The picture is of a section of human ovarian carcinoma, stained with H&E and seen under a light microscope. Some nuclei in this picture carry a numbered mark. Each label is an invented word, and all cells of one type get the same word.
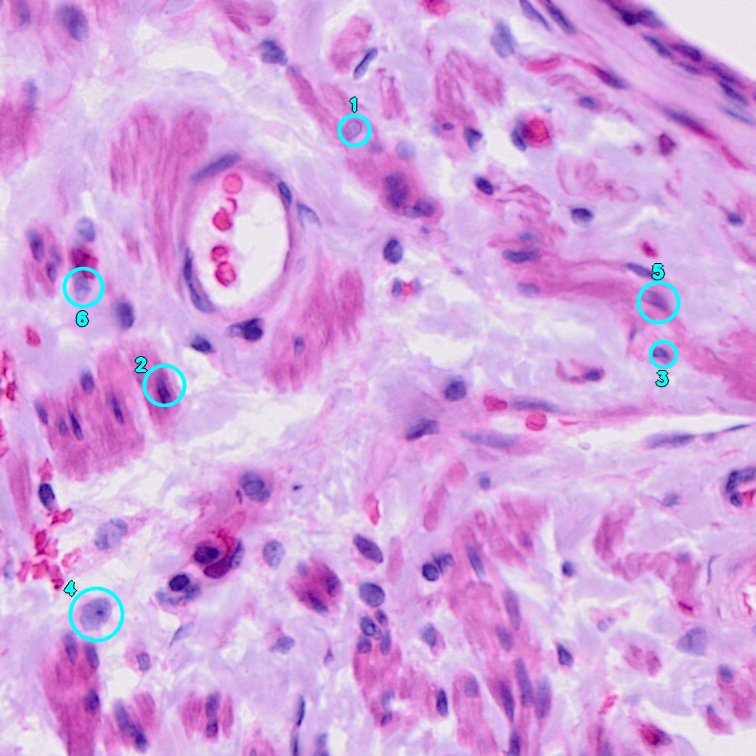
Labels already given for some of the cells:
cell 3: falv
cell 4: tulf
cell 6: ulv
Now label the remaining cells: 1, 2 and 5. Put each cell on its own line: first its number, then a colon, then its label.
1: falv
2: falv
5: falv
